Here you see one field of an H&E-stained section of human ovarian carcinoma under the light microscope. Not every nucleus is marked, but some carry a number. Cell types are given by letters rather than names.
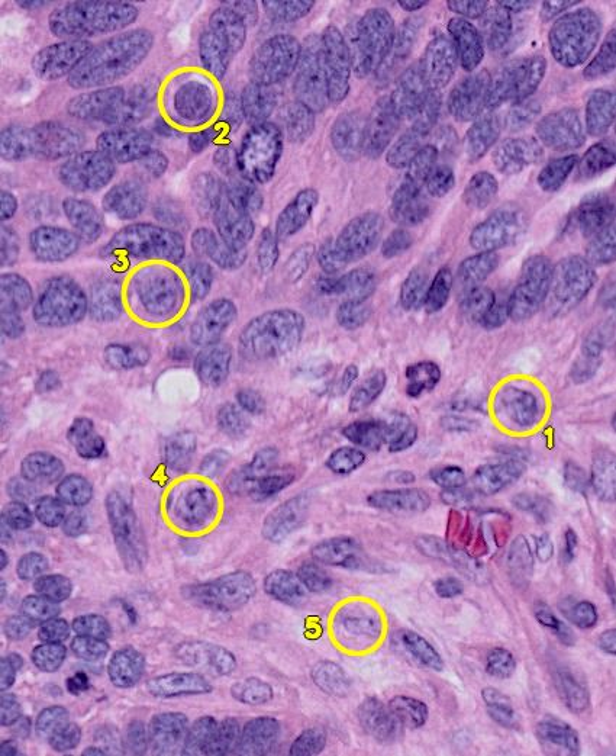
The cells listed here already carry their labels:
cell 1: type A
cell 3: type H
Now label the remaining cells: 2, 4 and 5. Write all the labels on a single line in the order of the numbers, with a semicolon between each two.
type H; type A; type A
